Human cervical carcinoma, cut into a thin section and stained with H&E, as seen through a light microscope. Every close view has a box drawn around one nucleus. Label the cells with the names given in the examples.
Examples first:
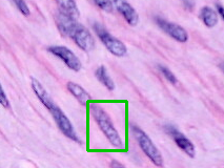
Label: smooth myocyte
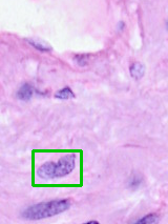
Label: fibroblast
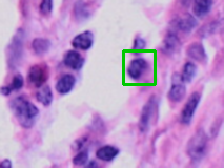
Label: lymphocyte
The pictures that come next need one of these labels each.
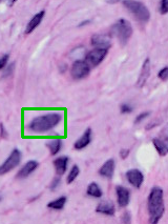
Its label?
fibroblast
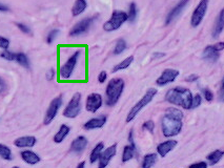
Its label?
fibroblast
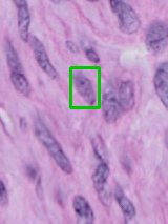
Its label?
smooth myocyte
